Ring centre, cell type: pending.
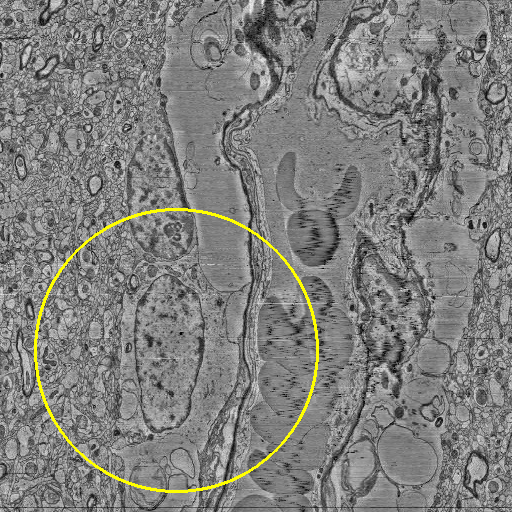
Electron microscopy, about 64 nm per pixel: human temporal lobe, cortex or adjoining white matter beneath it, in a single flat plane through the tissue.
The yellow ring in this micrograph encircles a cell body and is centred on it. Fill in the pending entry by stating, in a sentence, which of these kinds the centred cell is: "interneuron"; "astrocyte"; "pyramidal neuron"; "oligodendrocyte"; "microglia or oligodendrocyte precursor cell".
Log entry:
The centred cell is recorded as a microglial cell or oligodendrocyte precursor cell.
